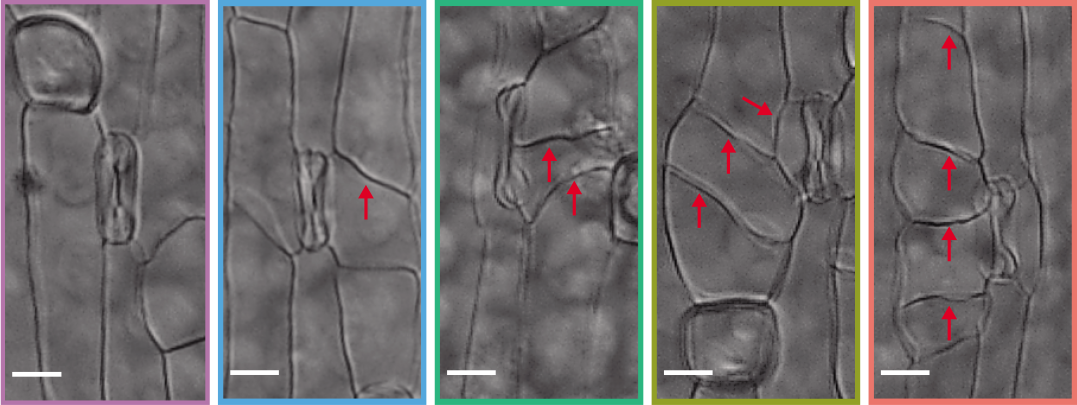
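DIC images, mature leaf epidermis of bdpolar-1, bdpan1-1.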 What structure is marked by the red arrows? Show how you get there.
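Red arrows point at thin walls crossing cells beside the narrow central cell pair. These walls are thin and often curved or oblique, unlike the straight long cell walls. The number of arrowed walls rises from none in the first image to four in the last.
Division planes.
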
